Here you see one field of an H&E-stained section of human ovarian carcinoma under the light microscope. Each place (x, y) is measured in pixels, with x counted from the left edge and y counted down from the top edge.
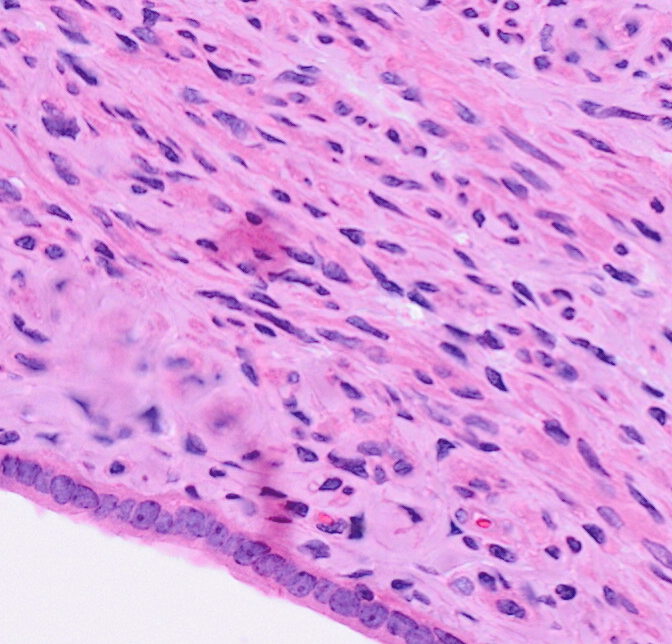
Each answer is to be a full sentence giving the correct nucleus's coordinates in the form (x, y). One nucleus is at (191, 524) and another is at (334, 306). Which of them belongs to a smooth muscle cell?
Of these two nuclei, only the one at (334, 306) belongs to a smooth muscle cell.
